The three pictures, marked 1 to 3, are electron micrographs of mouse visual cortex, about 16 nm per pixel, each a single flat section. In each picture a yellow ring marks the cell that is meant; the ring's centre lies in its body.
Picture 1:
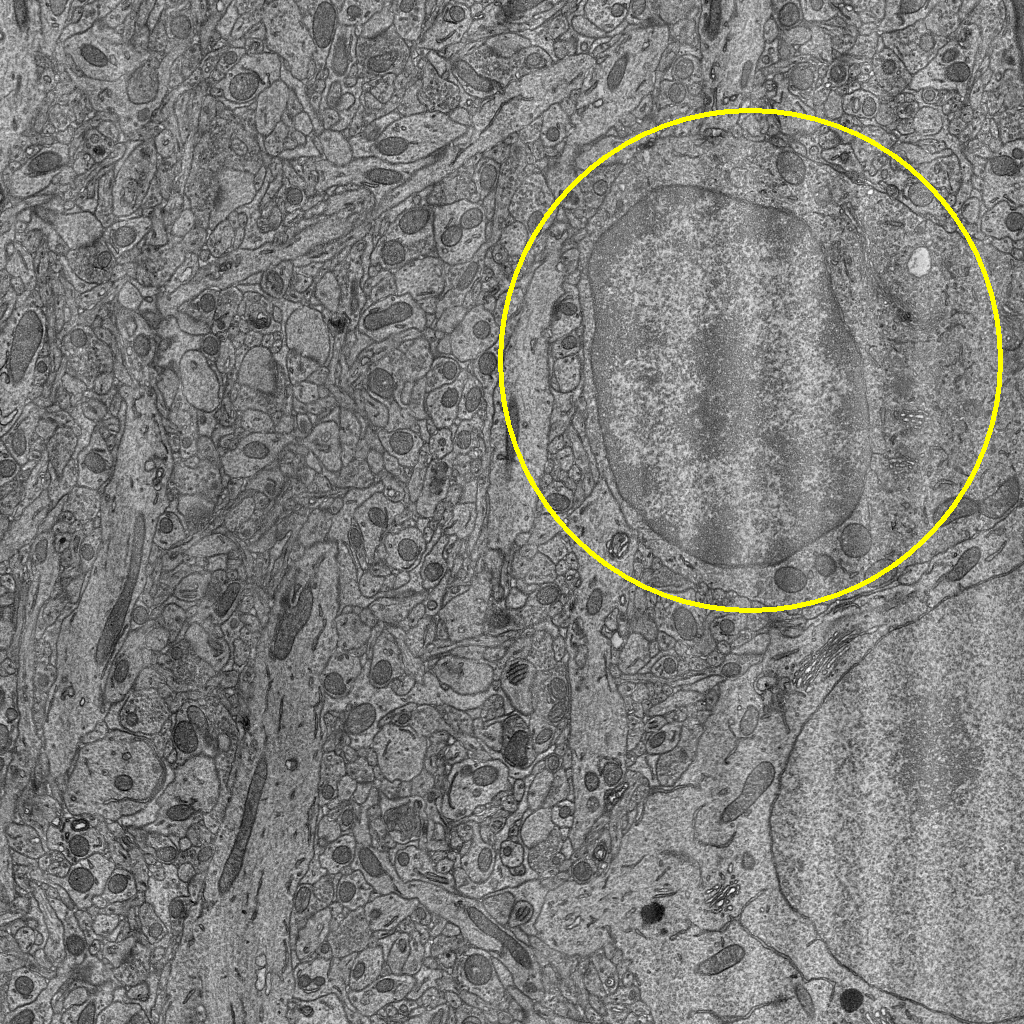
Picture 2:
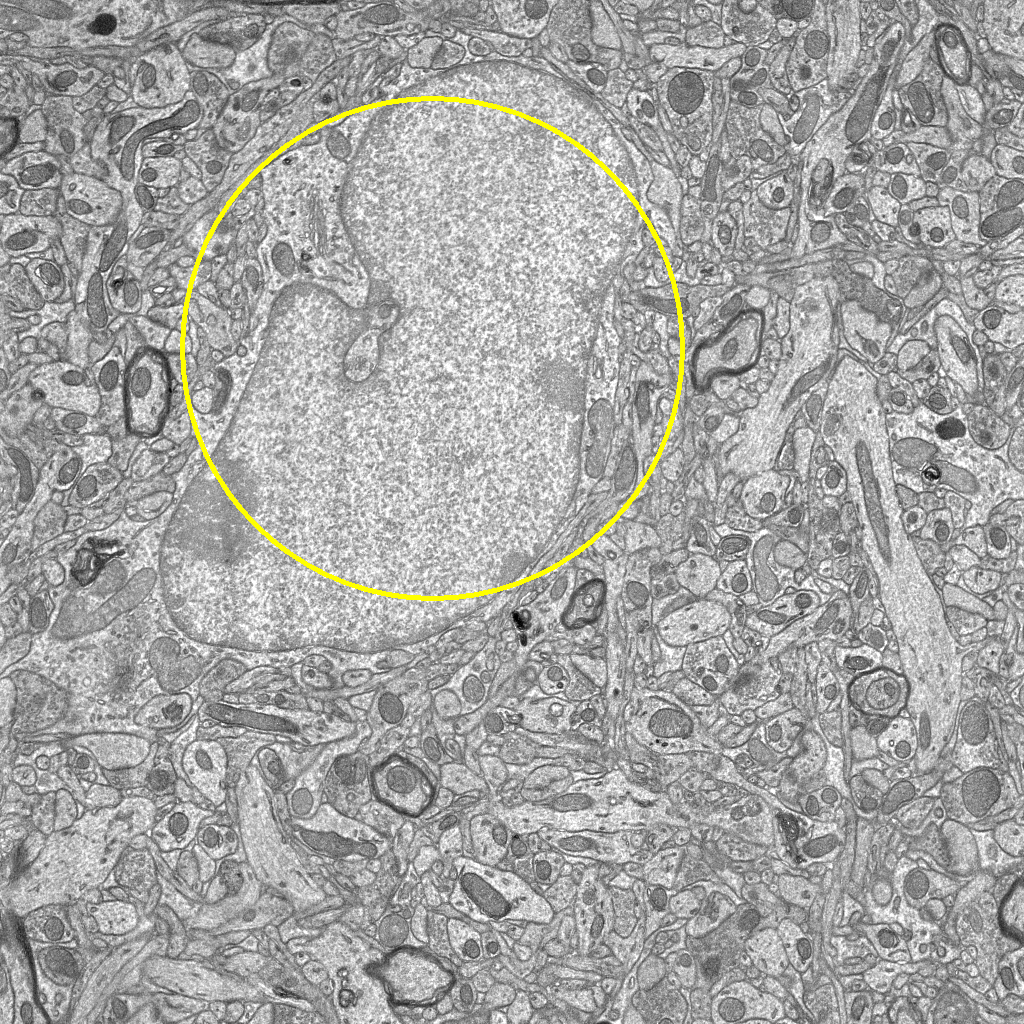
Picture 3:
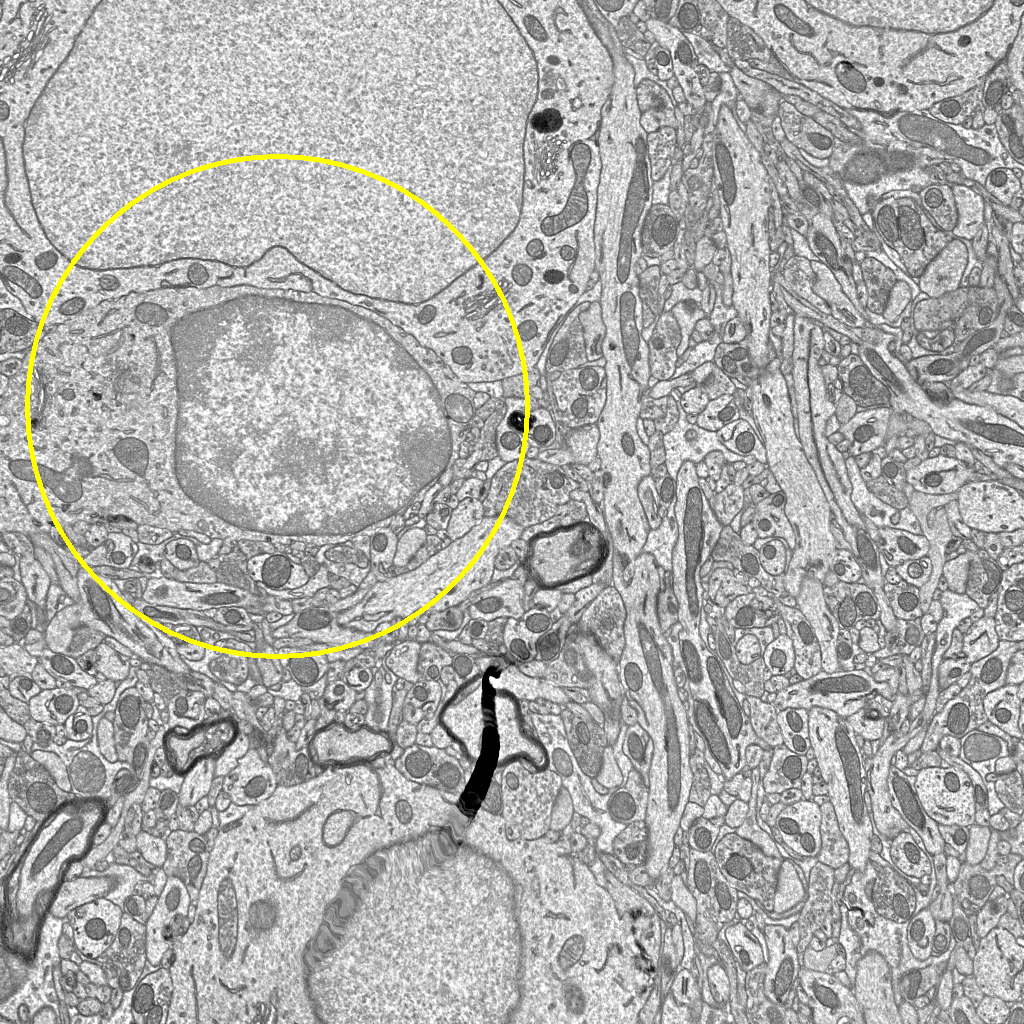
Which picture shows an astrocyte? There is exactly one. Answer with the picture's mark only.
2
